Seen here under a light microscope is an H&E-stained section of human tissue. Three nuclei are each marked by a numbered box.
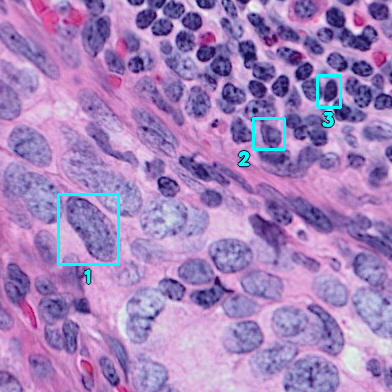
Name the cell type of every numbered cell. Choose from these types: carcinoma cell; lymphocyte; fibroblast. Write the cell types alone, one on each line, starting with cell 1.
carcinoma cell
lymphocyte
lymphocyte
